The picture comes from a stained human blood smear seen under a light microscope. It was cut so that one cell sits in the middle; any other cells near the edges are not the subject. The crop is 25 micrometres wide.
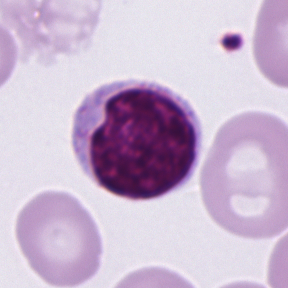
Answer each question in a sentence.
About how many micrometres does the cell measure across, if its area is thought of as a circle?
Taken as a circle, the cell has a diameter of about 11 micrometres.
